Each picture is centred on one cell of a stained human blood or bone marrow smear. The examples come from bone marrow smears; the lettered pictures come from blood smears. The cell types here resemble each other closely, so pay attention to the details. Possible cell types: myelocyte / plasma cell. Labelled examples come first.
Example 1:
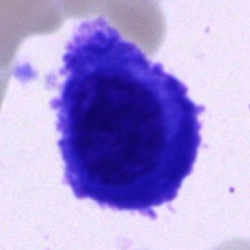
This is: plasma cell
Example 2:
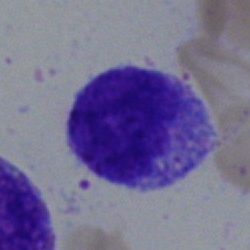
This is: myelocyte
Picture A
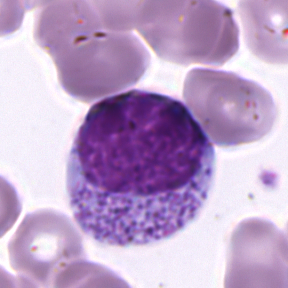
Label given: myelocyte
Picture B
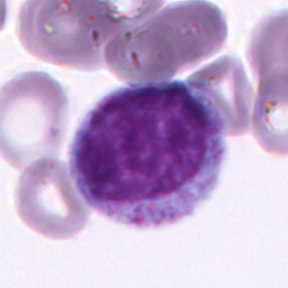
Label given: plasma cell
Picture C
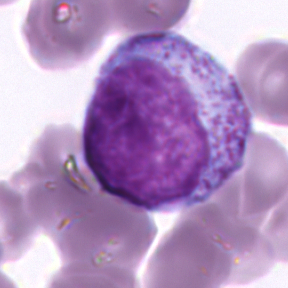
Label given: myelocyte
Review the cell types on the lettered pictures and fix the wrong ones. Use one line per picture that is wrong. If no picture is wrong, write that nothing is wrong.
B: not plasma cell but myelocyte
